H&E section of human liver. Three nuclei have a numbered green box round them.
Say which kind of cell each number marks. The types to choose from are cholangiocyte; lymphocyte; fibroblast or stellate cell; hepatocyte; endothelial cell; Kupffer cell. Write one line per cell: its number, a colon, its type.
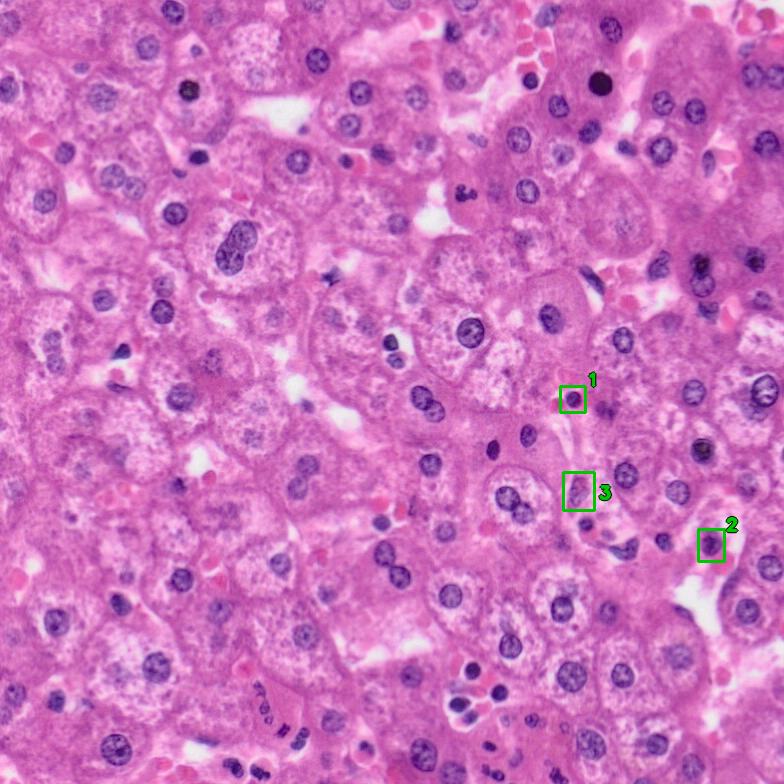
1: lymphocyte
2: Kupffer cell
3: Kupffer cell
